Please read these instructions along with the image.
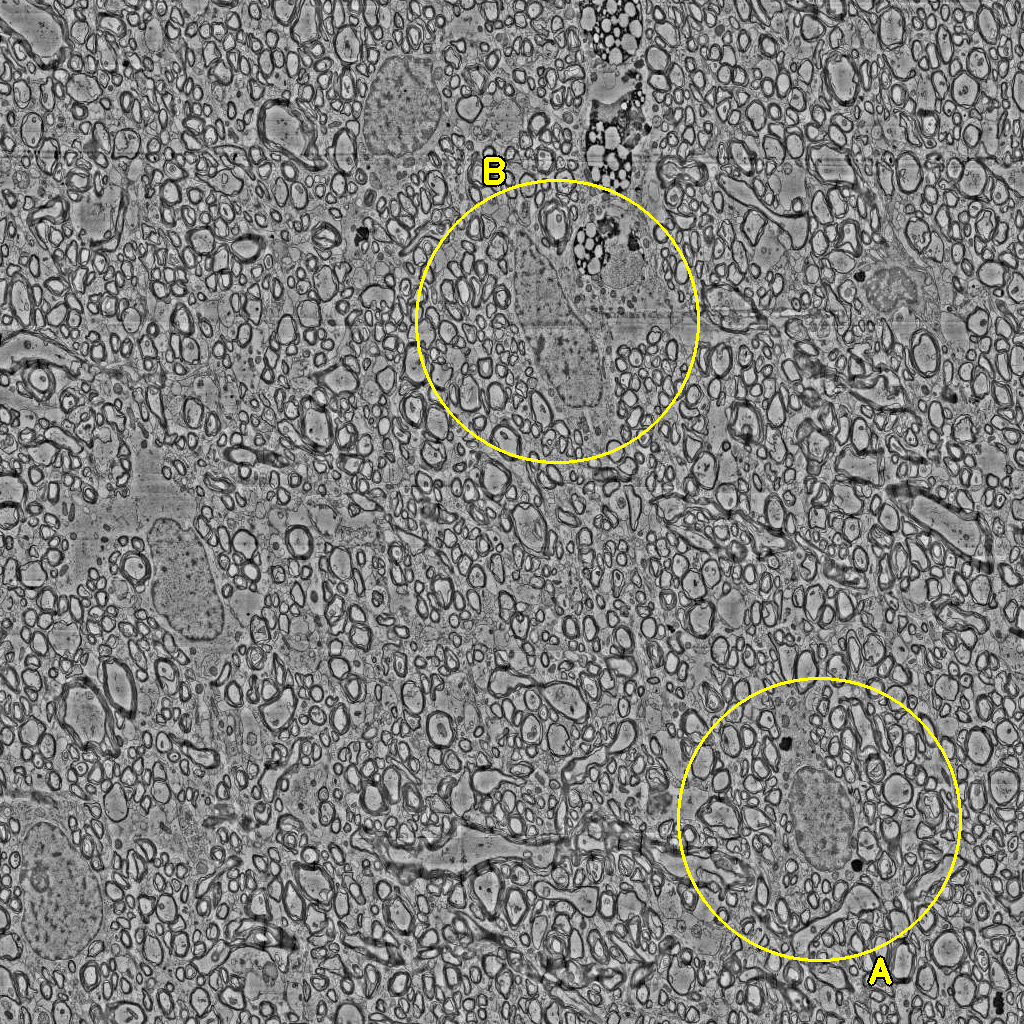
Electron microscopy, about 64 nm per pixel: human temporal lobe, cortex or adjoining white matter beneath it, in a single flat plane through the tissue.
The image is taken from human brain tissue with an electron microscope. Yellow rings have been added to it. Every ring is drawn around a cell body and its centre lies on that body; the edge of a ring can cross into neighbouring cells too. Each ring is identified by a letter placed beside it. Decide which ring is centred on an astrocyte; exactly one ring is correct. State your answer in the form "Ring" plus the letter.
Ring B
